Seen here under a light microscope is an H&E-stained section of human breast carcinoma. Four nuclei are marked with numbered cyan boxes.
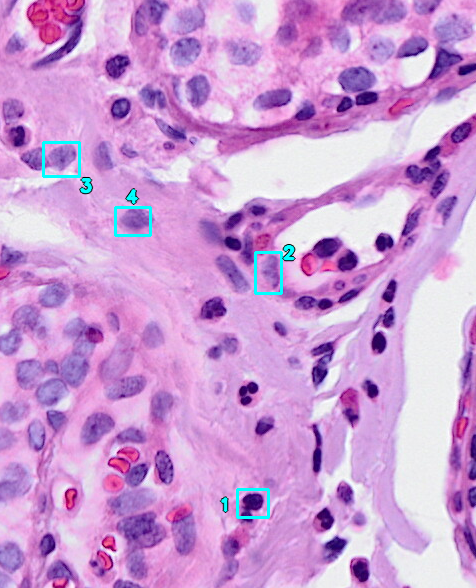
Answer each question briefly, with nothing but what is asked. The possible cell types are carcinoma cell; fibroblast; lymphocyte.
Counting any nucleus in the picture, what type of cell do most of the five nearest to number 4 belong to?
fibroblast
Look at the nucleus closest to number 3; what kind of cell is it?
fibroblast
